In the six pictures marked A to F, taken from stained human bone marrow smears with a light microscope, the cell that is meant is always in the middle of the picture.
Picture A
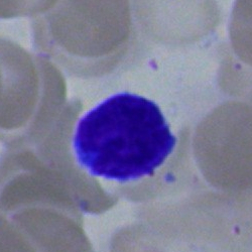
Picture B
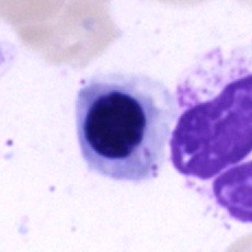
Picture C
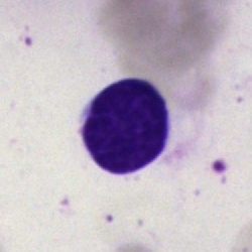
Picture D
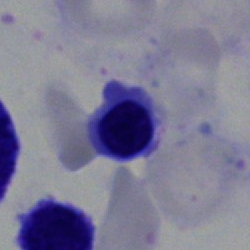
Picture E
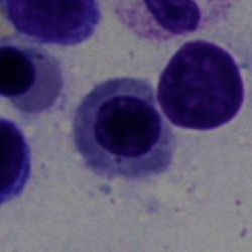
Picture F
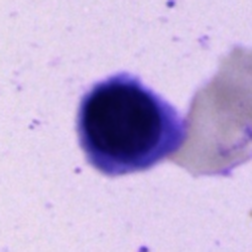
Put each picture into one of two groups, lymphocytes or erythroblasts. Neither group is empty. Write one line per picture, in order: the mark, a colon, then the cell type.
A: lymphocyte
B: erythroblast
C: lymphocyte
D: erythroblast
E: erythroblast
F: erythroblast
